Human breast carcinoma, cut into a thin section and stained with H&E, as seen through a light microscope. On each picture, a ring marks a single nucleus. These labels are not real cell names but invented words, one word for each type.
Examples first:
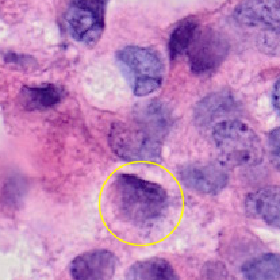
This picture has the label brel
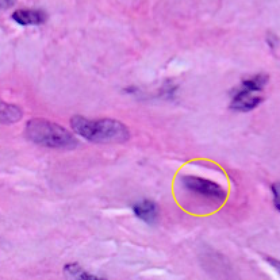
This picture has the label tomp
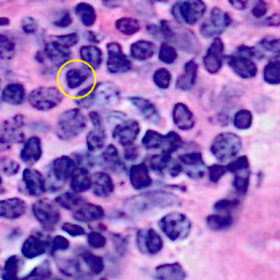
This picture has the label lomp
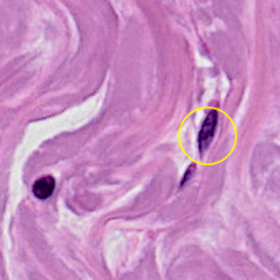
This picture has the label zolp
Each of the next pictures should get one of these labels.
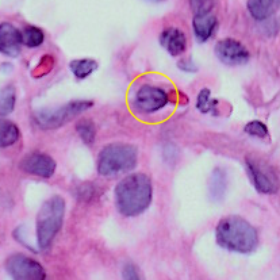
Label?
tomp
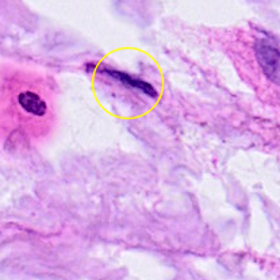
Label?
zolp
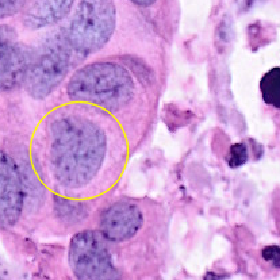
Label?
brel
